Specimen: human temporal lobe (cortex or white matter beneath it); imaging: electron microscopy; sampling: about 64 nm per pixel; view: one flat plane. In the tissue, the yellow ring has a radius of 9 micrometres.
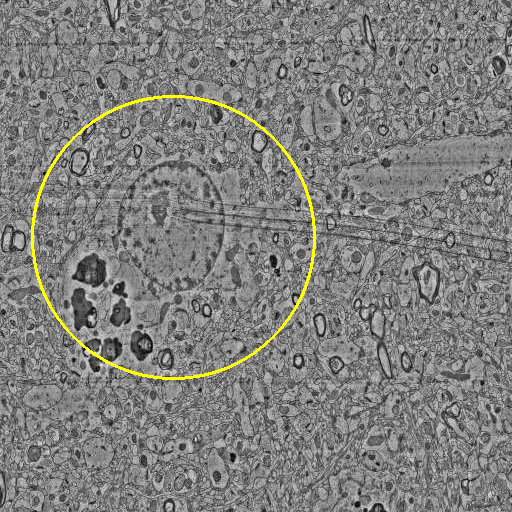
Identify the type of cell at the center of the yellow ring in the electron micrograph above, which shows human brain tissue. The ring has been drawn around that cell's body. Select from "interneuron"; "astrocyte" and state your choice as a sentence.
The yellow ring is centered on the body of an astrocyte.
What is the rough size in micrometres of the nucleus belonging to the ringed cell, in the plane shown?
Approximately 8 by 7 micrometers in this plane.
